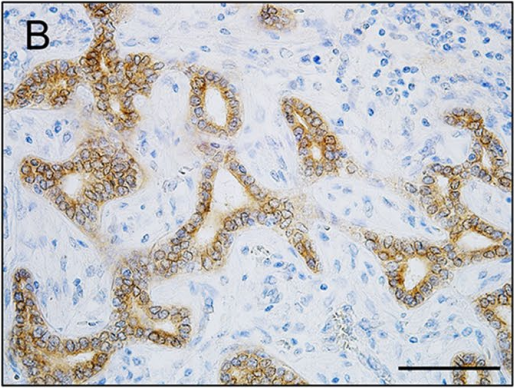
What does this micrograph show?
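These are carcinoma cells forming small gland-like tubules and anastomosing cords within a pale fibrous stroma. The tubules are lined by a single or double layer of small cuboidal cells around narrow lumens. The spindle-shaped stromal cells between them remain unstained.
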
